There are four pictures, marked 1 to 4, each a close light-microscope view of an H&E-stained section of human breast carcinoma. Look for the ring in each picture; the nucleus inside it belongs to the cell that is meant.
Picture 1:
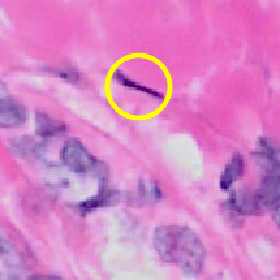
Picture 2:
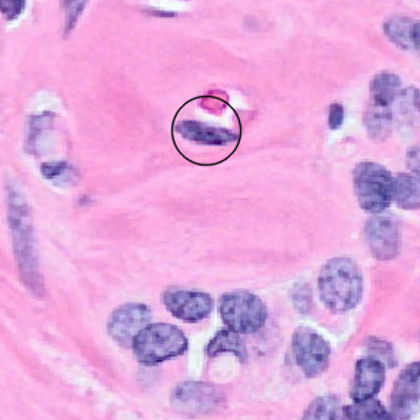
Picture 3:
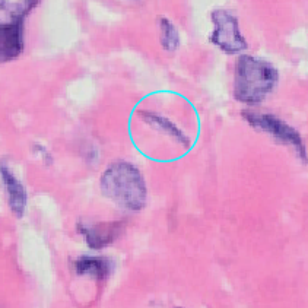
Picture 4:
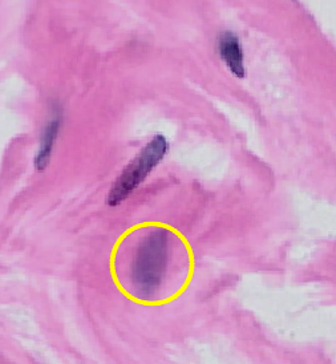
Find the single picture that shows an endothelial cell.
2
